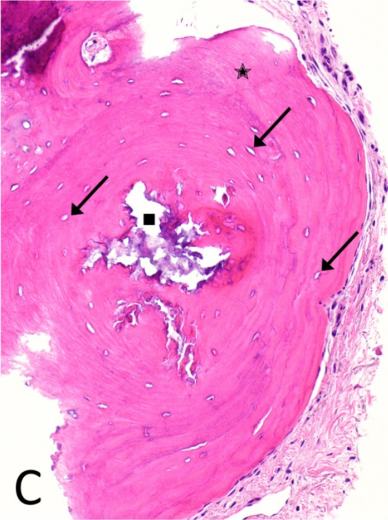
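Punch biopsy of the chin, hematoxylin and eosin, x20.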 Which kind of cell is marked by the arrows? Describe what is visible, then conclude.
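Osteocytes. Small flattened cells sit in tiny clear spaces within the pink matrix. They are spread along the concentric layers.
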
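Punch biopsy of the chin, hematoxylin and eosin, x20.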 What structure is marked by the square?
Haversian canal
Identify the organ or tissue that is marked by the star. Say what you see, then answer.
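Dense deep pink matrix arranged in concentric layers. Small cells sit in lacunae within the matrix. On this evidence: bone.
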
